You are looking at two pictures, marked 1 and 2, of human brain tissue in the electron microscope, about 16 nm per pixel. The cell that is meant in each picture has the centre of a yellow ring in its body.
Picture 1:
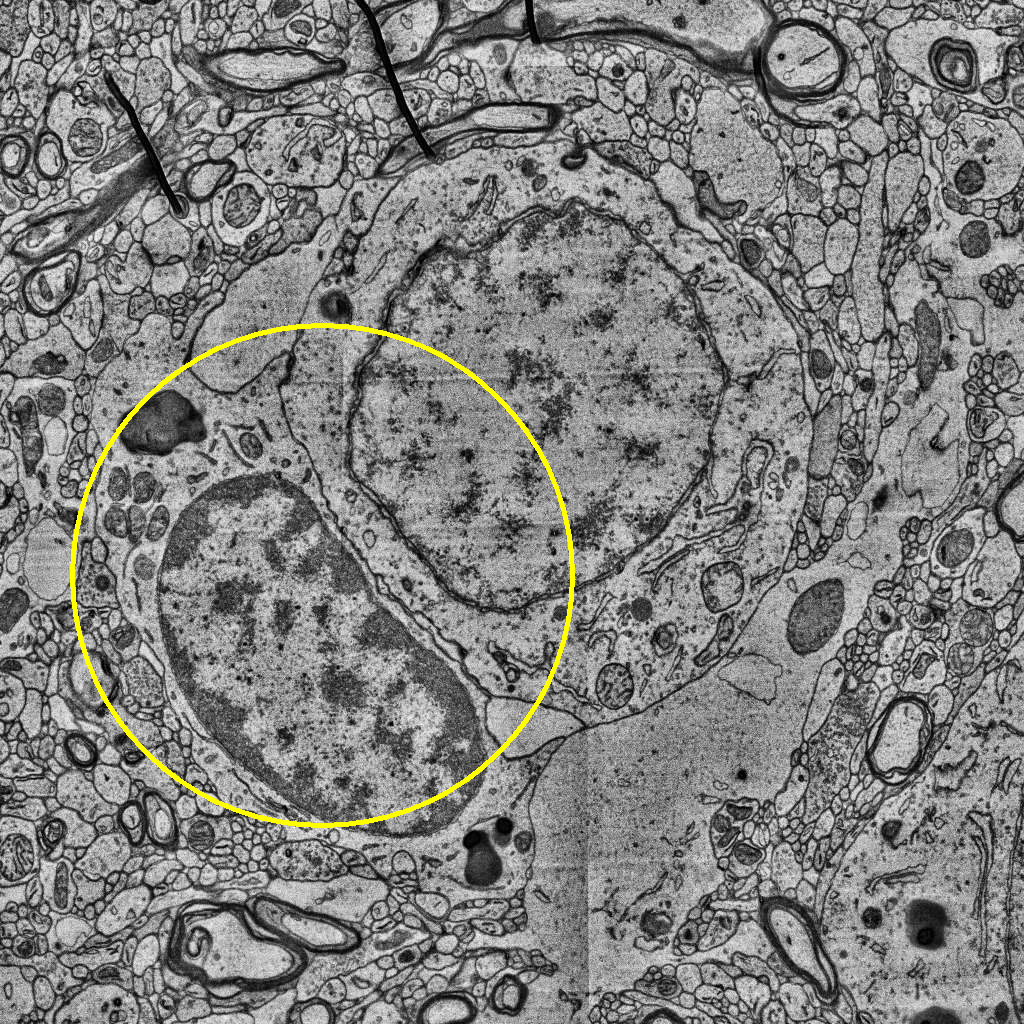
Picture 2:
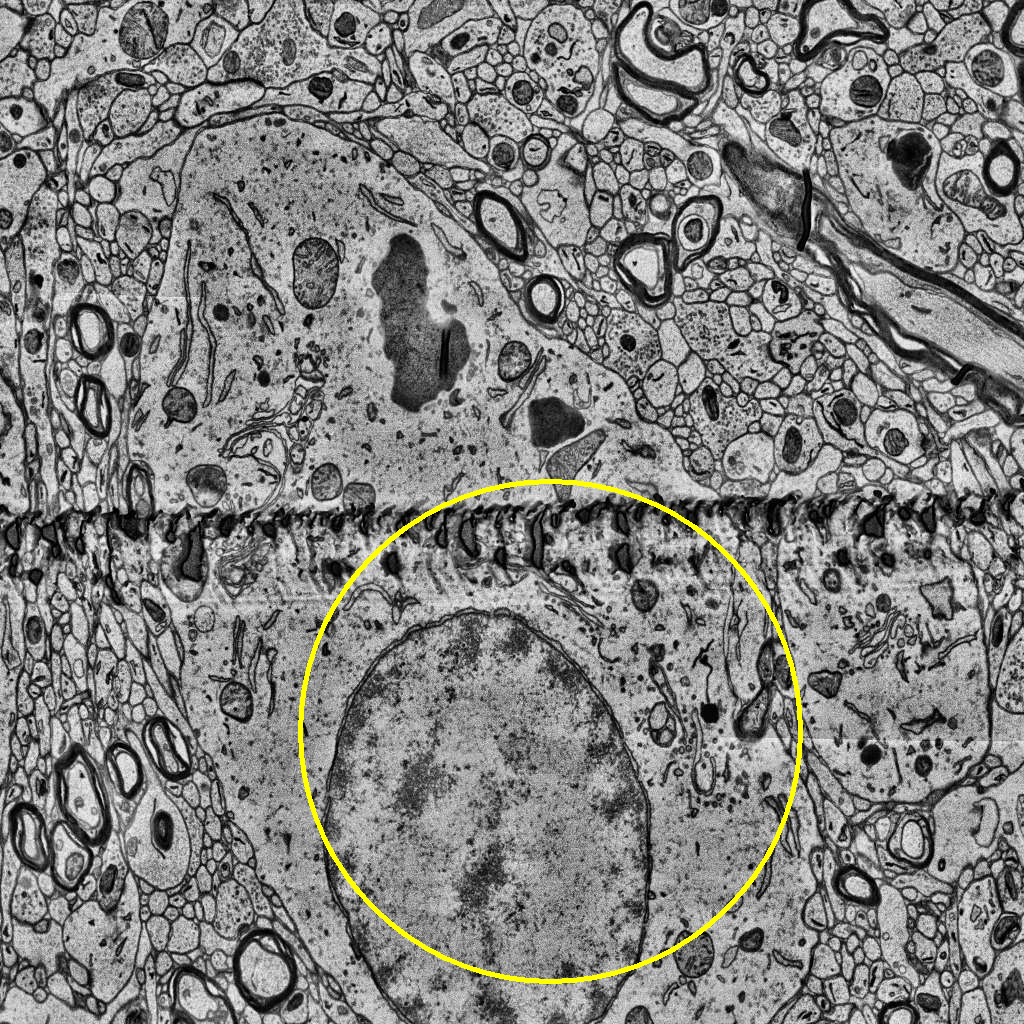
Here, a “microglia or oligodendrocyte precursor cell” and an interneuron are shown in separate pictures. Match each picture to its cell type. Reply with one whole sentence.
Picture 1 shows a “microglia or oligodendrocyte precursor cell” and picture 2 shows an interneuron.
